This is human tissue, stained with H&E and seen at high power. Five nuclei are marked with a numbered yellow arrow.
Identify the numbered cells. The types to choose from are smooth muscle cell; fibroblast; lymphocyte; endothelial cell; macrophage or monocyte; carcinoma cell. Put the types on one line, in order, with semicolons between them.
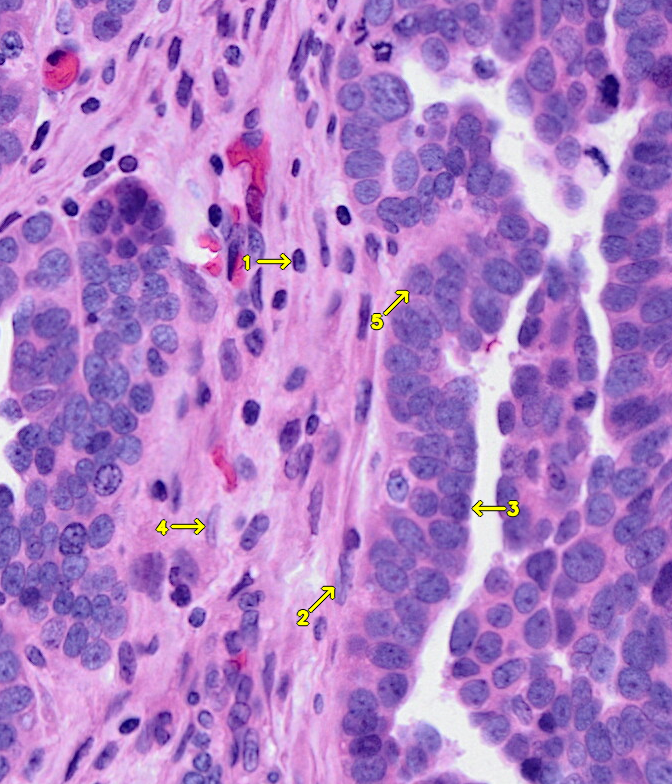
lymphocyte; fibroblast; carcinoma cell; fibroblast; carcinoma cell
